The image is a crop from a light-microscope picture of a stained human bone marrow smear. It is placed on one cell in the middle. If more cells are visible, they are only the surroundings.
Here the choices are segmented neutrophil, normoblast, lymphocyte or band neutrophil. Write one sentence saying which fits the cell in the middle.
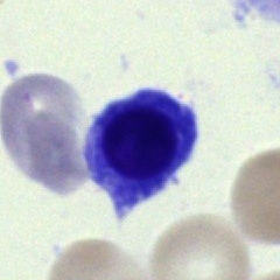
Within this crop, a normoblast occupies the central position.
